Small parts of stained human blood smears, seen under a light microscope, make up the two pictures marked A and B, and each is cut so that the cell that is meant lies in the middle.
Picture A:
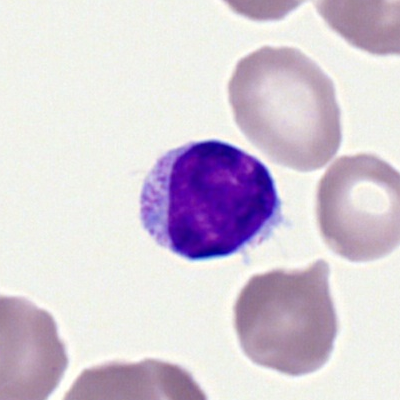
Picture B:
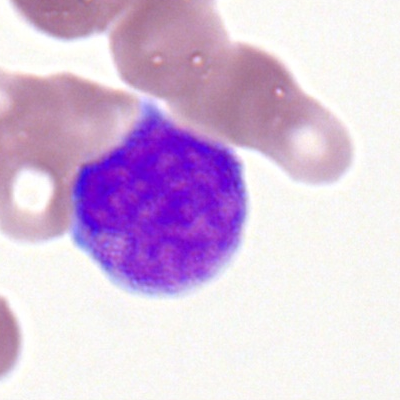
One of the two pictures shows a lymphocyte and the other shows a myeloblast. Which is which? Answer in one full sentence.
Picture B shows a myeloblast, while picture A shows a lymphocyte.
